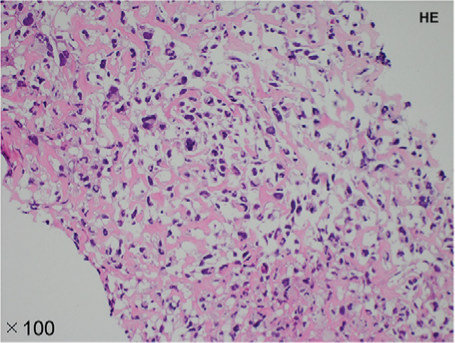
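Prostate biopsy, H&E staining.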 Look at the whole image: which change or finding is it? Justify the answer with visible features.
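Cells are spread evenly across the whole tissue fragment in a sheet, without glands. The cells have small, dark-purple nuclei of uneven shape. The answer: diffuse proliferation of atypical cells.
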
